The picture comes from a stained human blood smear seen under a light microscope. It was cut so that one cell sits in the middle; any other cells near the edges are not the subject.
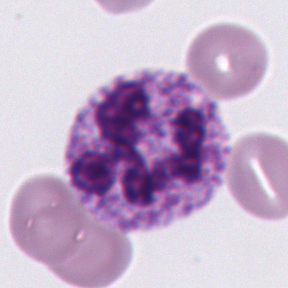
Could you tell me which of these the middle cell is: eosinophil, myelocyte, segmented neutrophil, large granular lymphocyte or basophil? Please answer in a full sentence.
The crop centres on a single cell, and that cell is a segmented neutrophil.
